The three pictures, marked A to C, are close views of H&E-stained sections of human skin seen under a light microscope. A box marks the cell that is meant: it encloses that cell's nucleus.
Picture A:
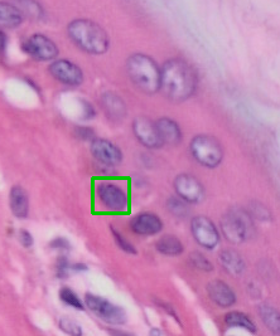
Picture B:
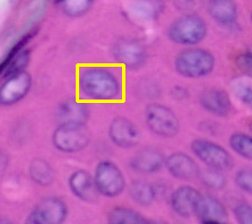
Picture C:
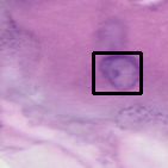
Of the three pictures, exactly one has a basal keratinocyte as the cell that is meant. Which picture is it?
A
